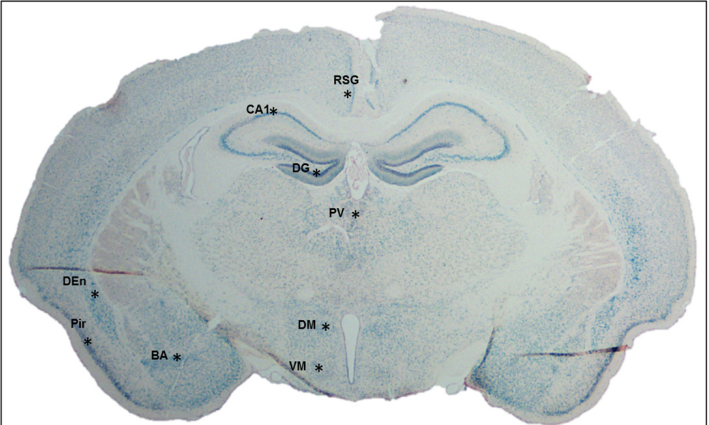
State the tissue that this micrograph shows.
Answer: Brain.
